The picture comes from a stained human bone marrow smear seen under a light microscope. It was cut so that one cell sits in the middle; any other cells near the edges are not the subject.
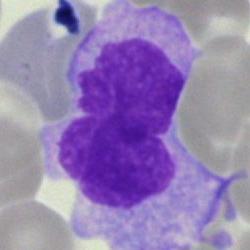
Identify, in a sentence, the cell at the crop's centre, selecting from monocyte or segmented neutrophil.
In the centre of this crop there is a monocyte.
